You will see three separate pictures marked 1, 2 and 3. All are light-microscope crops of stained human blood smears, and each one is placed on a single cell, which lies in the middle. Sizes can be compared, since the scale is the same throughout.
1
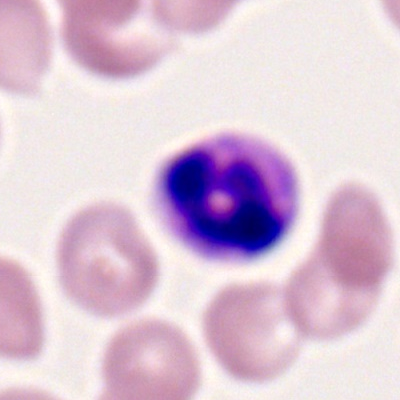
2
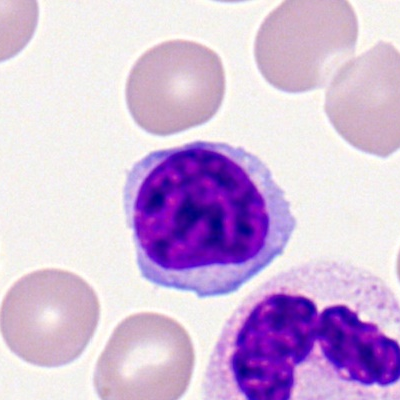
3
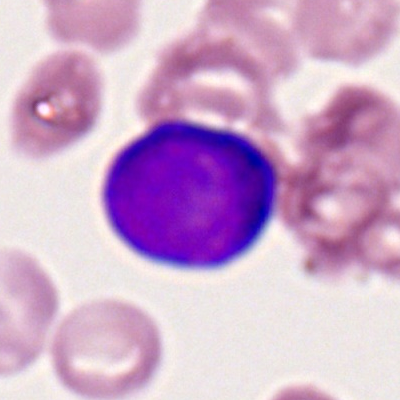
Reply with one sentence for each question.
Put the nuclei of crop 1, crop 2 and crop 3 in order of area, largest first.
Largest first: 3, 2, 1.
